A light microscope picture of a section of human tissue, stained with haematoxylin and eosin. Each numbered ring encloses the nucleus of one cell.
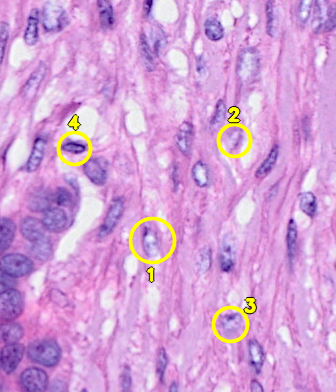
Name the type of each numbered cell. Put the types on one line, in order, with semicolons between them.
fibroblast; fibroblast; fibroblast; macrophage or monocyte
